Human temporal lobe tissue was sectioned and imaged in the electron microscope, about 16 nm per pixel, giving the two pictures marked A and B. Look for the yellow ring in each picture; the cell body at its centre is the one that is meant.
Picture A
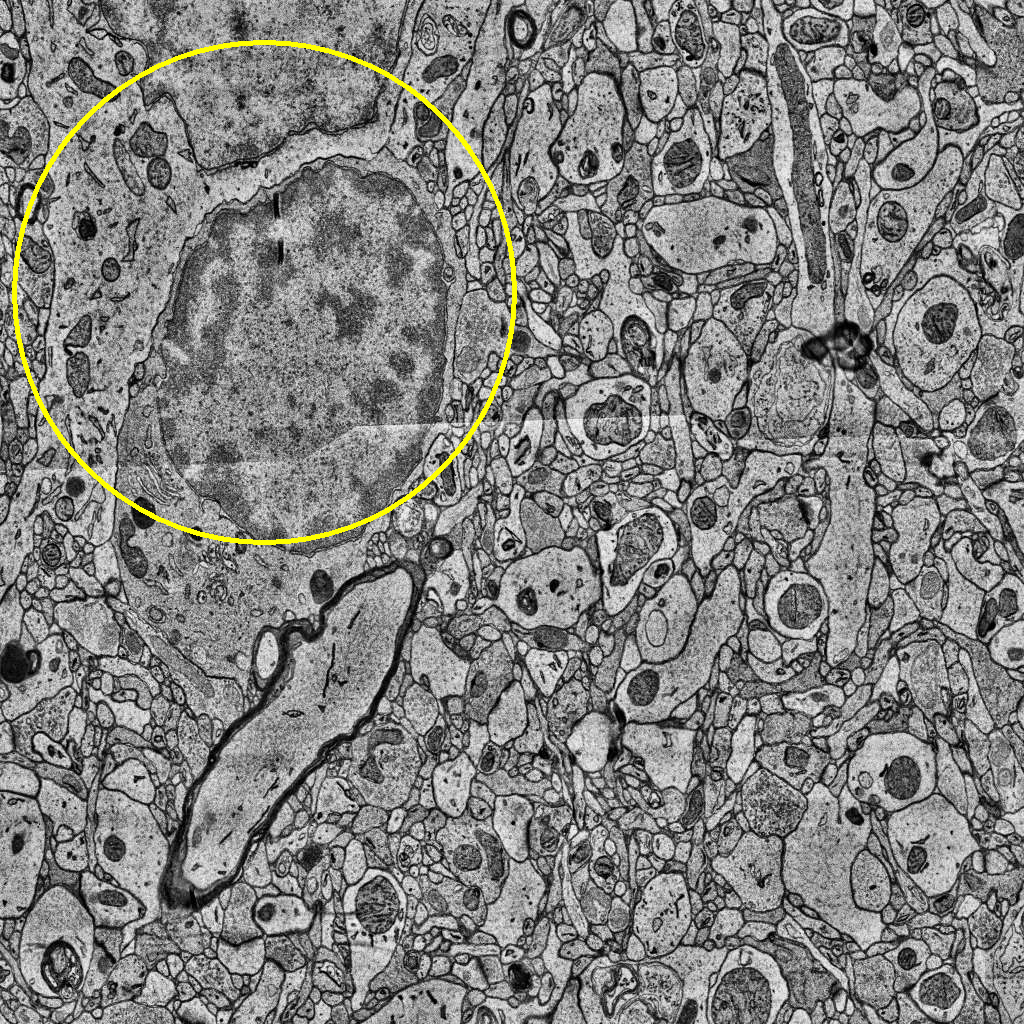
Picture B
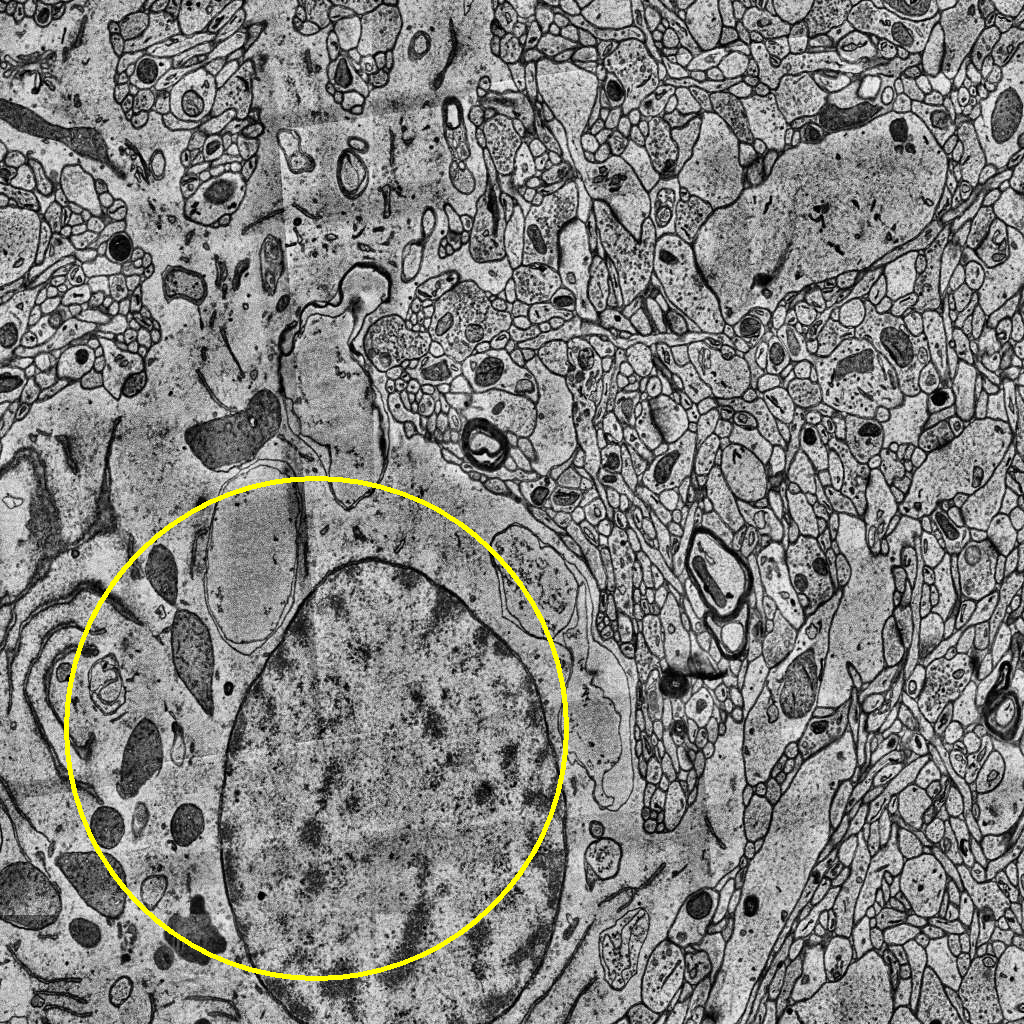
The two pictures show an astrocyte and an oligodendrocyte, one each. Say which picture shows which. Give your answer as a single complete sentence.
Picture B shows an astrocyte, while picture A shows an oligodendrocyte.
